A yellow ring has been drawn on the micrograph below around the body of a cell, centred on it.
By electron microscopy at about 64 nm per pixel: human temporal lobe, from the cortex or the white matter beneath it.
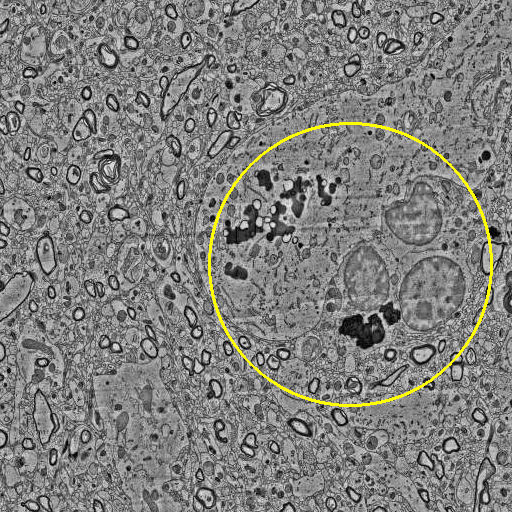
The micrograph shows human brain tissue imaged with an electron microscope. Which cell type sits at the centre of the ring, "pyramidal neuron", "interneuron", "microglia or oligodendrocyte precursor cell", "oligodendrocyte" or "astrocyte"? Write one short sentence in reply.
The cell sitting at the centre of the ring is an oligodendrocyte.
